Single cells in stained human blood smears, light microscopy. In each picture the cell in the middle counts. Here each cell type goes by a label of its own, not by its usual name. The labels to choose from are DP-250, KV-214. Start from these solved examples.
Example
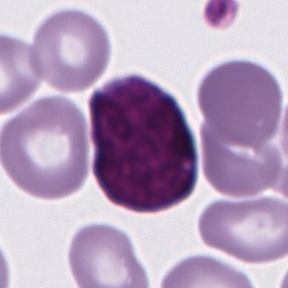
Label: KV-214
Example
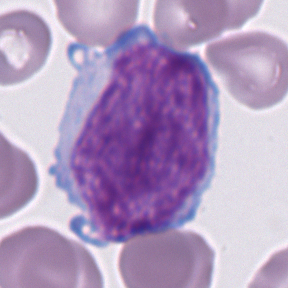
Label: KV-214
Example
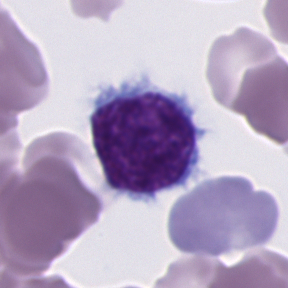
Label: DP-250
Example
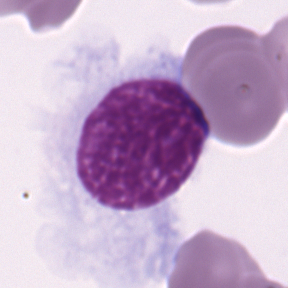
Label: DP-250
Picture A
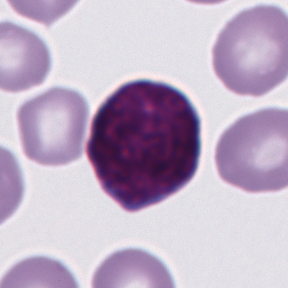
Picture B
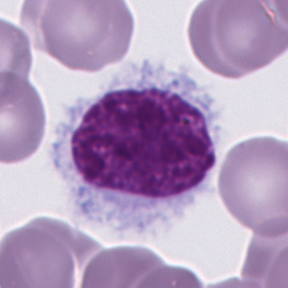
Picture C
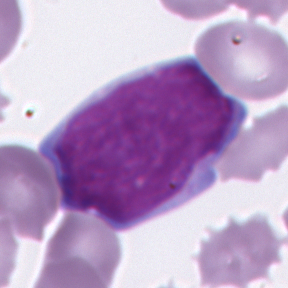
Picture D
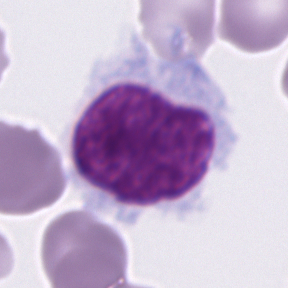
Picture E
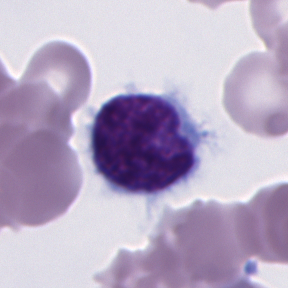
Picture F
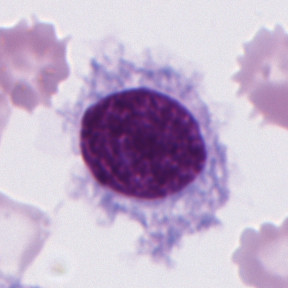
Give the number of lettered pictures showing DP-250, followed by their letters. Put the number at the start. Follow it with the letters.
4, namely B, D, E, F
